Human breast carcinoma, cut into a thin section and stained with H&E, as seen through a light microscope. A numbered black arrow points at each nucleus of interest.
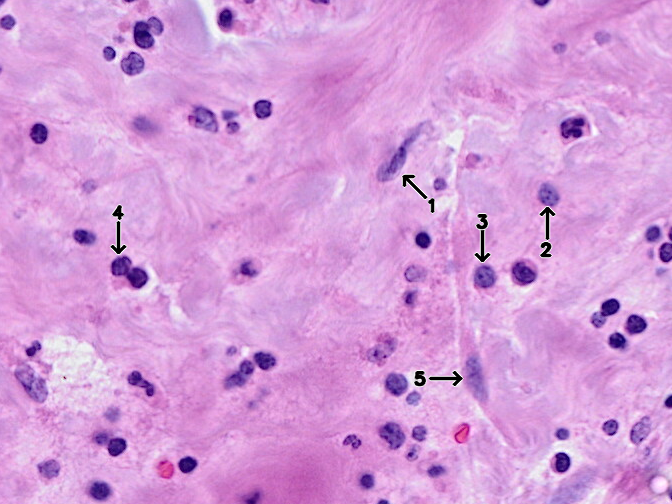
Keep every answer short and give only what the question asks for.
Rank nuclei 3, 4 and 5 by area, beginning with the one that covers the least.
4, 3, 5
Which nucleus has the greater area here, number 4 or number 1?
1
